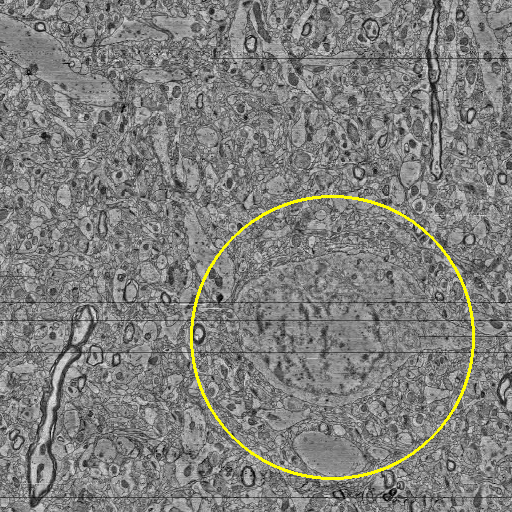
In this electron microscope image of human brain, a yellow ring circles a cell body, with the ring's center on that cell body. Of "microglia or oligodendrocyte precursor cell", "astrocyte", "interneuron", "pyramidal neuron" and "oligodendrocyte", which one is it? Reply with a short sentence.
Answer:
It is an interneuron at the center of the ring.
